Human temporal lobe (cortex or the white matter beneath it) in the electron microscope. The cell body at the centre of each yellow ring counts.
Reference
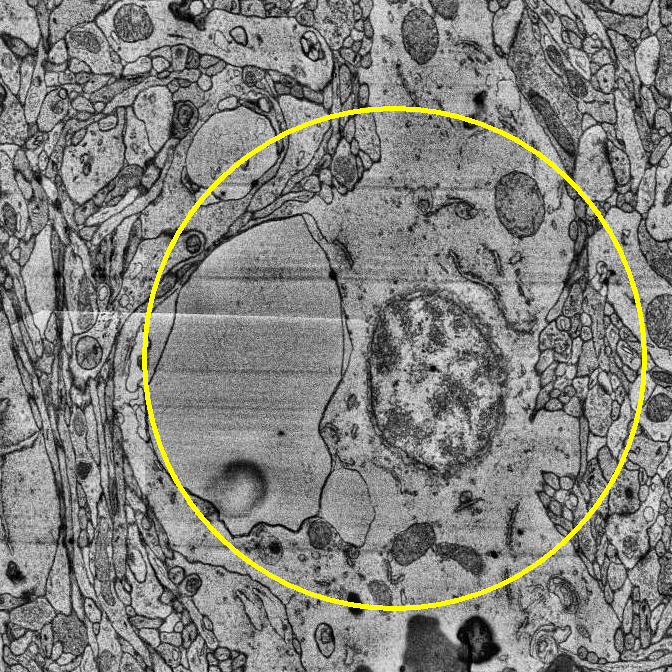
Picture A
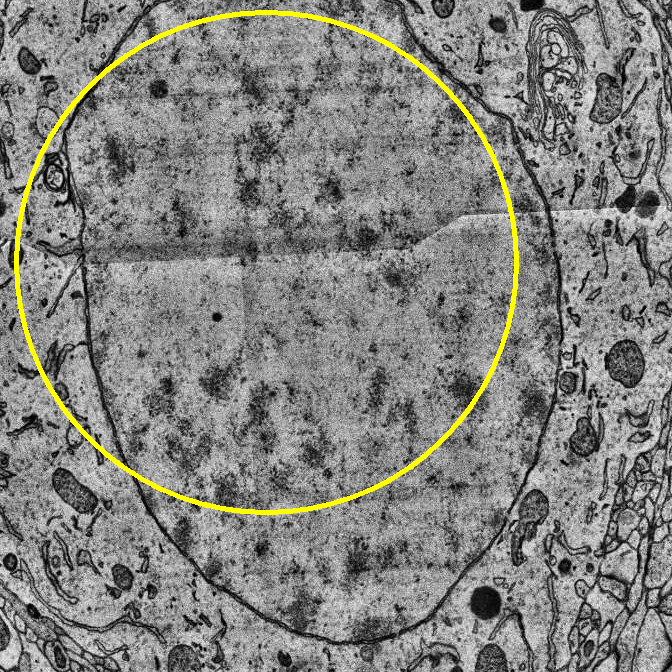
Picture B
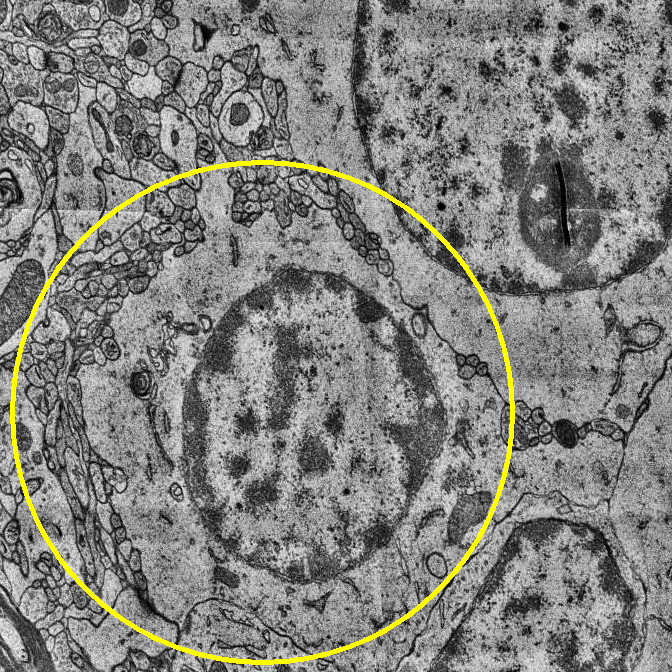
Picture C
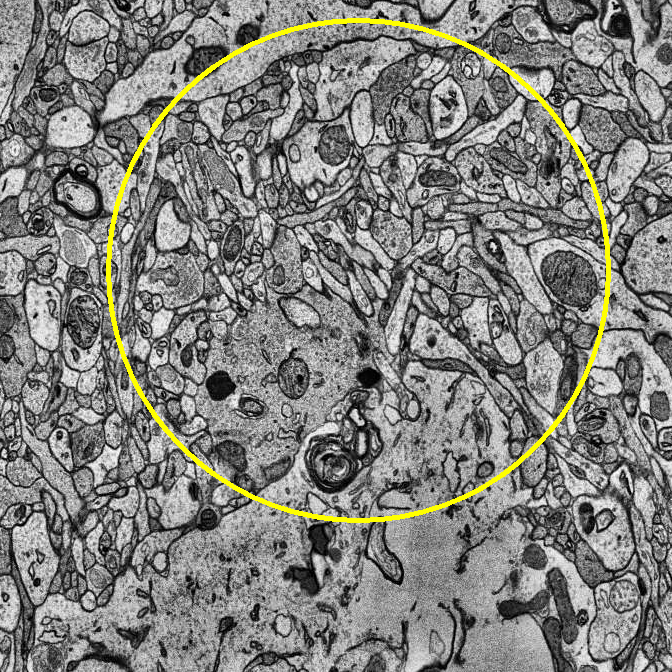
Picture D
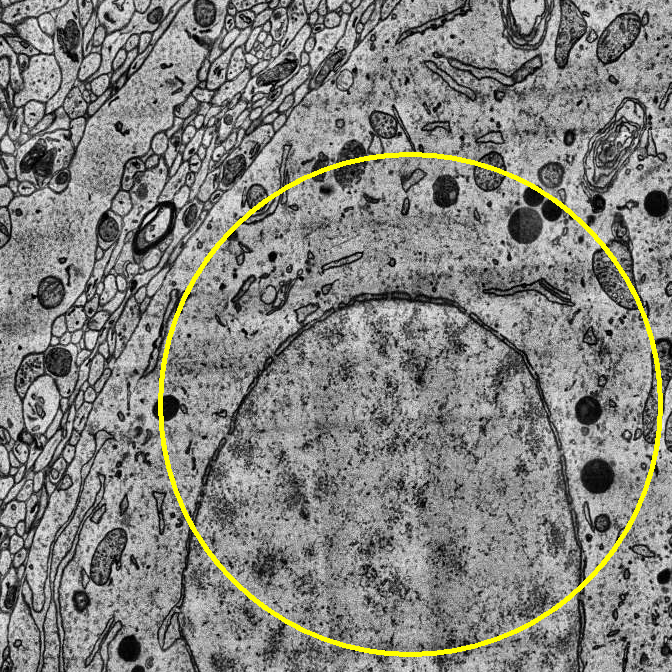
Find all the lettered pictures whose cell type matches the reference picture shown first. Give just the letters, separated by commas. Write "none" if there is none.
B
